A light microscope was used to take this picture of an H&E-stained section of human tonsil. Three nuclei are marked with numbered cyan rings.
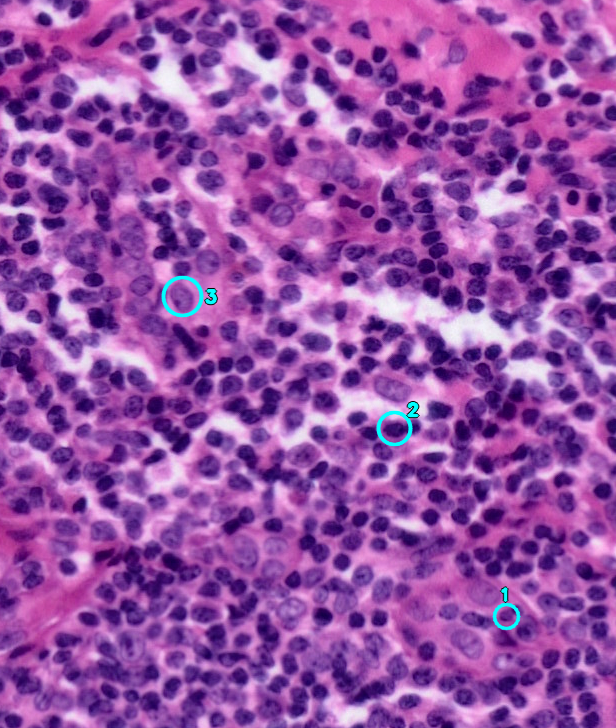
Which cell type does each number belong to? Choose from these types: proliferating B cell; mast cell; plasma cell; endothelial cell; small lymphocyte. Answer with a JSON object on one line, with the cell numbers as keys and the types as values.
{"1": "endothelial cell", "2": "plasma cell", "3": "endothelial cell"}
